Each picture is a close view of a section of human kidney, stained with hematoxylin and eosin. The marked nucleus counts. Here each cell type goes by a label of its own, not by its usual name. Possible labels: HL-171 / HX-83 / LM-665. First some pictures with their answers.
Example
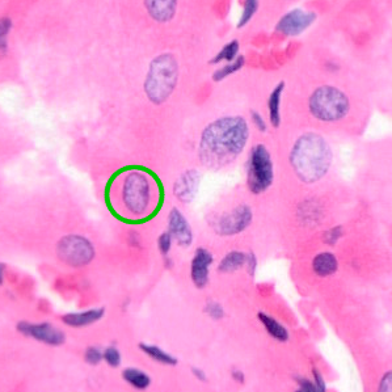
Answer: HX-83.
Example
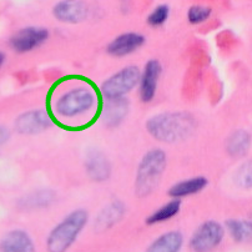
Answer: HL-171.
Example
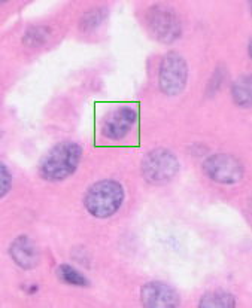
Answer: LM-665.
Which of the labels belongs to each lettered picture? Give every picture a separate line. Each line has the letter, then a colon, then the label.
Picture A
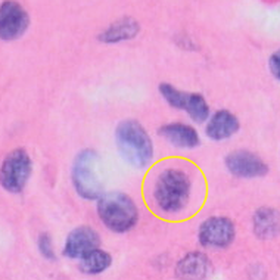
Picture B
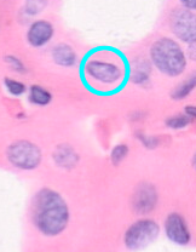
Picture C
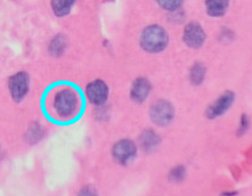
A: LM-665.
B: HL-171.
C: LM-665.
